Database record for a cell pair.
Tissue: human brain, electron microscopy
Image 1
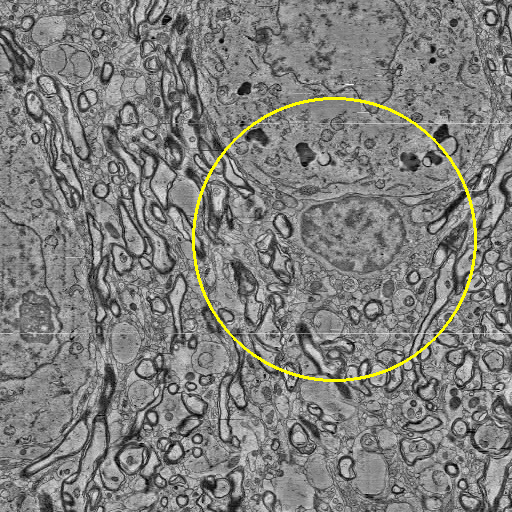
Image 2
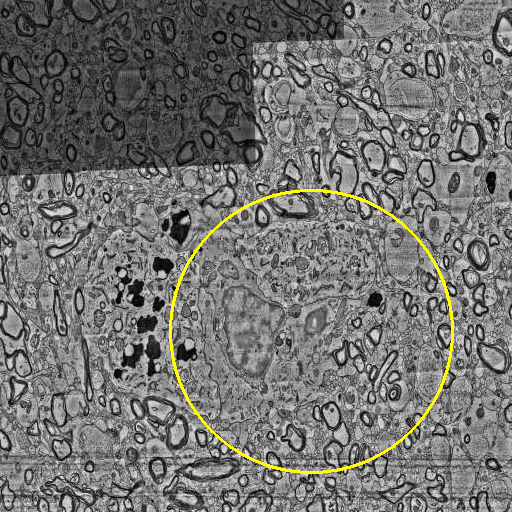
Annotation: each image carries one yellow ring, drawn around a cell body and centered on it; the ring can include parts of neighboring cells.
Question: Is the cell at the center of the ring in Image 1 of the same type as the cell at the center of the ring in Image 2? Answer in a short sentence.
No, the cells are of two types.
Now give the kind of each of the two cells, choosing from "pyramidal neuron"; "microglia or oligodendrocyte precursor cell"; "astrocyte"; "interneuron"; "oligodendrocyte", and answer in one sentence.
The cell in the first picture is an oligodendrocyte, and the cell in the second is a microglial cell or oligodendrocyte precursor cell.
